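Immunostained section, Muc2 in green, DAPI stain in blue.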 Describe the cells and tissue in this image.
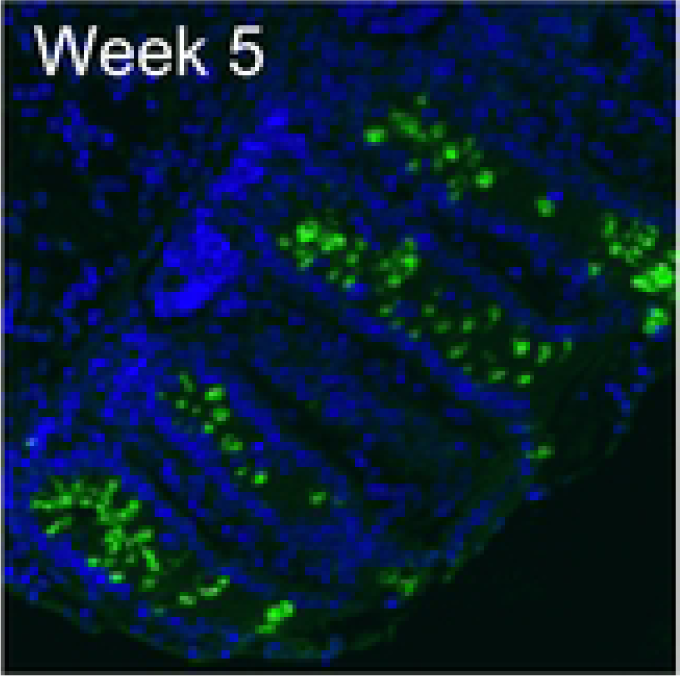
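Intestinal crypts run in parallel, their epithelial lining marked by rows of blue nuclei. Goblet cells appear as discrete green rounded granular bodies scattered within the crypts, most clustered toward one end of the crypts.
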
